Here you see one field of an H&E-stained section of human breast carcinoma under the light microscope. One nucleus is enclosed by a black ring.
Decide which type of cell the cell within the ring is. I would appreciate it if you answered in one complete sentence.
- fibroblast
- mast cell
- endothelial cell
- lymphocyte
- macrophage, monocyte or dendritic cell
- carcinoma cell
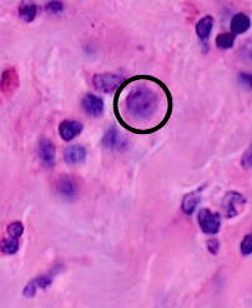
Speaking plainly, the cell within the ring is nothing other than a macrophage, monocyte or dendritic cell.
